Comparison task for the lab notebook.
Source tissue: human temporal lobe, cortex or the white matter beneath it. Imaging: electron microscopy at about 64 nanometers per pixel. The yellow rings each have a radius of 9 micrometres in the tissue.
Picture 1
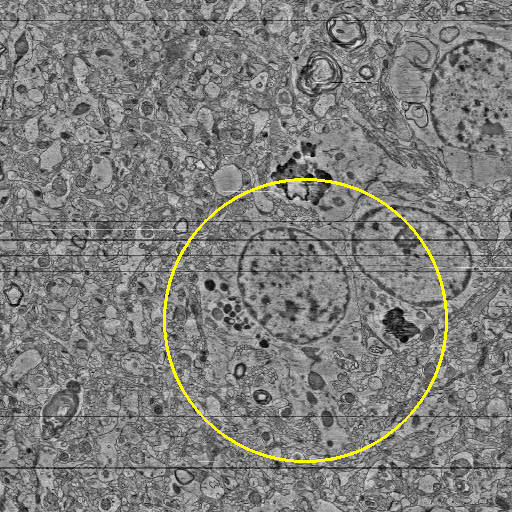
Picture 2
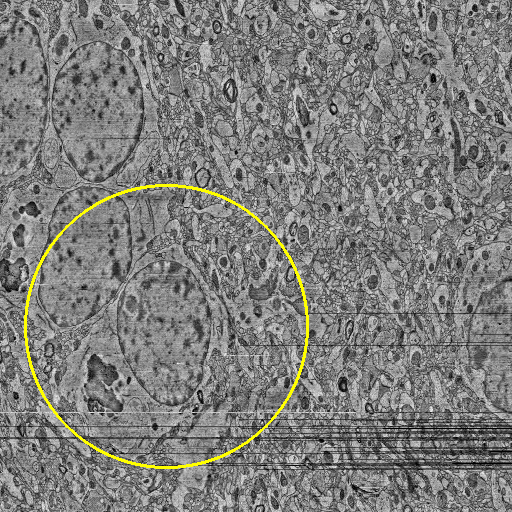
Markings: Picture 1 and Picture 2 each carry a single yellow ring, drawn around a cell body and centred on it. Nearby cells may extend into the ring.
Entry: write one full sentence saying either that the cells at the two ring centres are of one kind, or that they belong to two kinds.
The cells sitting at the ring centres in Picture 1 and Picture 2 are of one kind.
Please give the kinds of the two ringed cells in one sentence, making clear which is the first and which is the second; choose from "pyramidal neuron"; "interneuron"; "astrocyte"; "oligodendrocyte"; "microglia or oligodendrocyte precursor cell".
Each of the ringed cells, first and second, is an astrocyte.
